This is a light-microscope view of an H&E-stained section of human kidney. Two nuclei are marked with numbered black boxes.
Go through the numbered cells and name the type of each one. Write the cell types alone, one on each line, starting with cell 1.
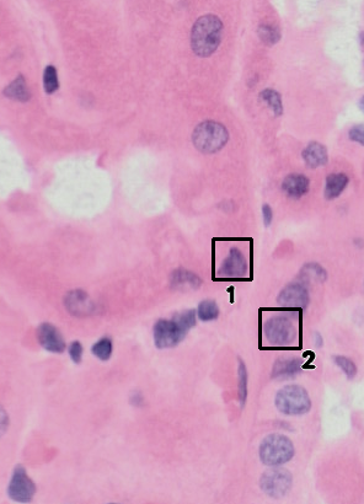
proximal tubule cell
collecting duct cell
